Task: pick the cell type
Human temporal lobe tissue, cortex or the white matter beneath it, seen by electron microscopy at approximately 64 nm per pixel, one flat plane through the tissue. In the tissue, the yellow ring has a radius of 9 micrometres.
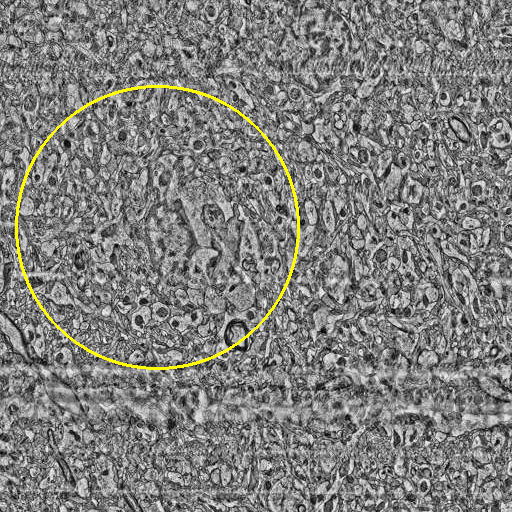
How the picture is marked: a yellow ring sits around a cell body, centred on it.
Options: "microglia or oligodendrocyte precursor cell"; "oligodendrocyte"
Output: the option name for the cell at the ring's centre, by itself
oligodendrocyte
